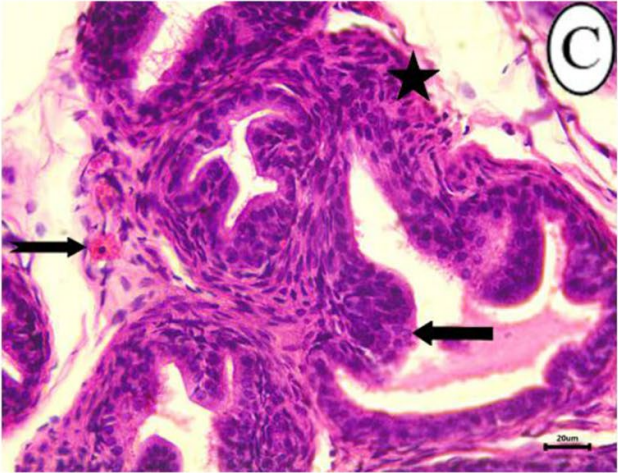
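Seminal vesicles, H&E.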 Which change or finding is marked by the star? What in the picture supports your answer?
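Beneath the epithelium lies a dense zone of spindle-shaped cells with elongated nuclei. This zone is more cellular than the loose tissue around the gland. On this evidence: connective tissue proliferation in lamina propria.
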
